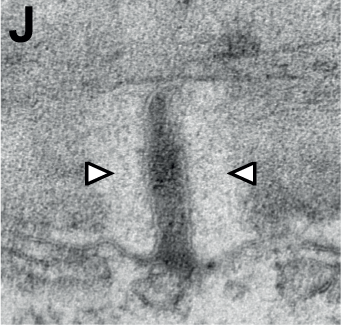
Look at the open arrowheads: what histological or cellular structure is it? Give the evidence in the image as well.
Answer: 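A straight dark channel crosses the wall. Paler bands of wall flank the channel on both sides where the arrowheads point. The answer: electron-lucent cell wall collars.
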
